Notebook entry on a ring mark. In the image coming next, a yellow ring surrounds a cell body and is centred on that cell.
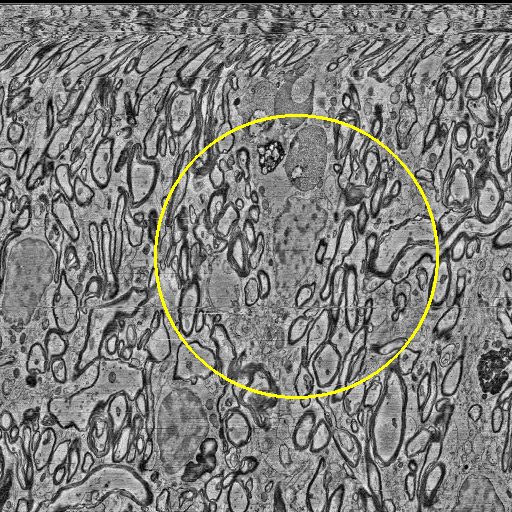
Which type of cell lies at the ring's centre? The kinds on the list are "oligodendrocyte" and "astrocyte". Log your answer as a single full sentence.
Centred in the yellow ring is an astrocyte, the cell recorded for this image.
